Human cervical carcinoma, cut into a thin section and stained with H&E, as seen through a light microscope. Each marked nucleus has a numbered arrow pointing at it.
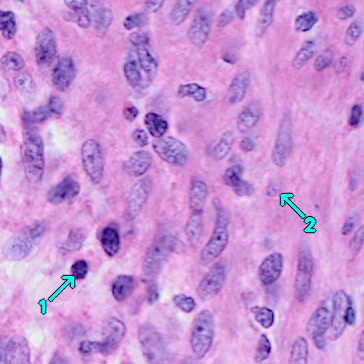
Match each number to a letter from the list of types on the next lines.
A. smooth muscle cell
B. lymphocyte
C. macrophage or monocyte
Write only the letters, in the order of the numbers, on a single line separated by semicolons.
B; A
